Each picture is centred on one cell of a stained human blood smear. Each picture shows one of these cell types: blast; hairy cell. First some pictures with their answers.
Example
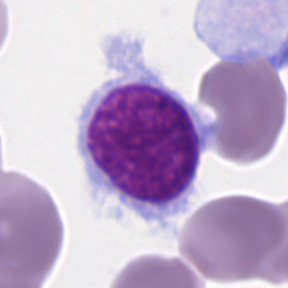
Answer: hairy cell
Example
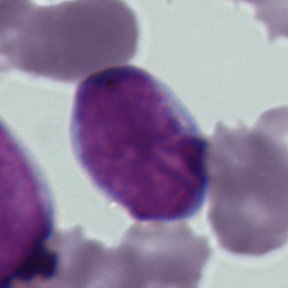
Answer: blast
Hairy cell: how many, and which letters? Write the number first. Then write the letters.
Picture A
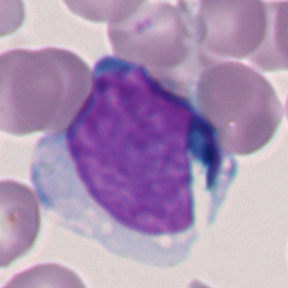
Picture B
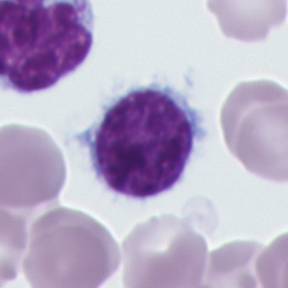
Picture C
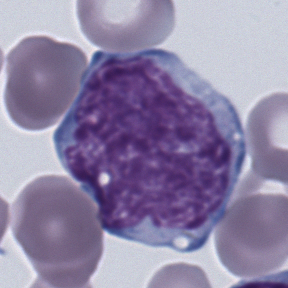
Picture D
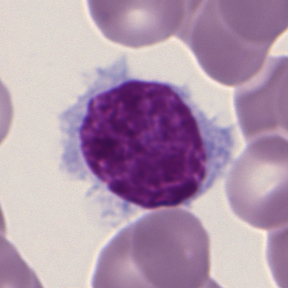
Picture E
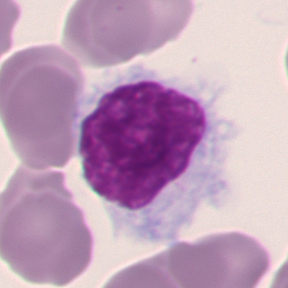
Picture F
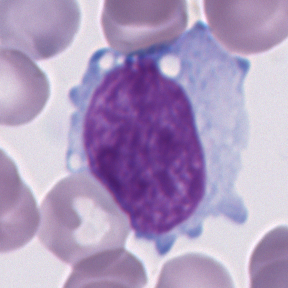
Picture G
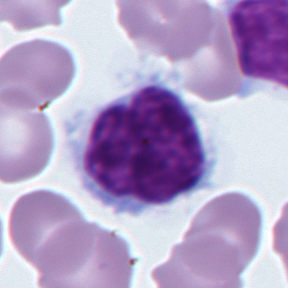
4: B, D, E, G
